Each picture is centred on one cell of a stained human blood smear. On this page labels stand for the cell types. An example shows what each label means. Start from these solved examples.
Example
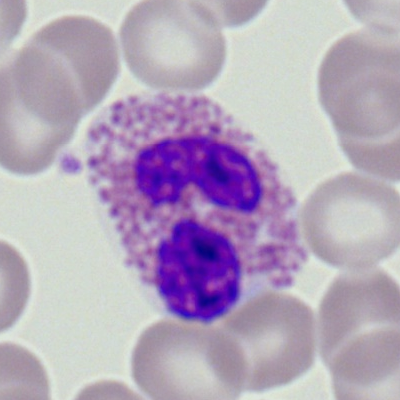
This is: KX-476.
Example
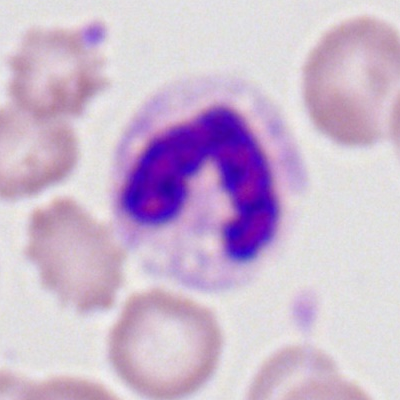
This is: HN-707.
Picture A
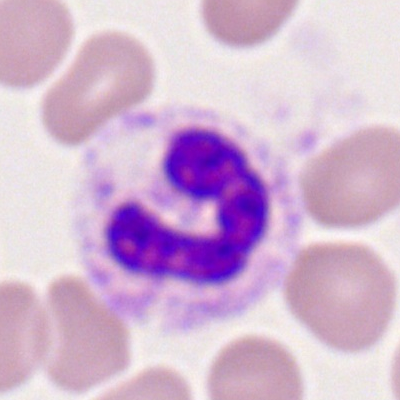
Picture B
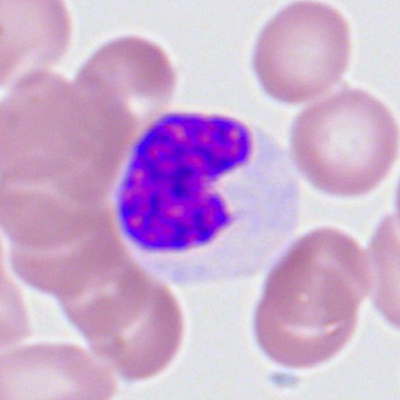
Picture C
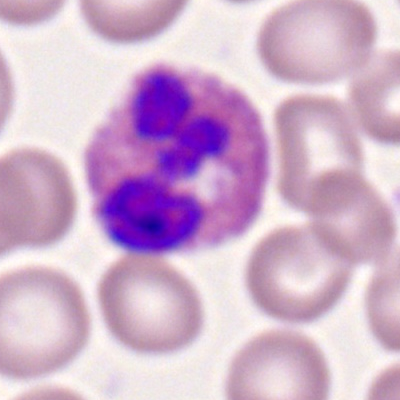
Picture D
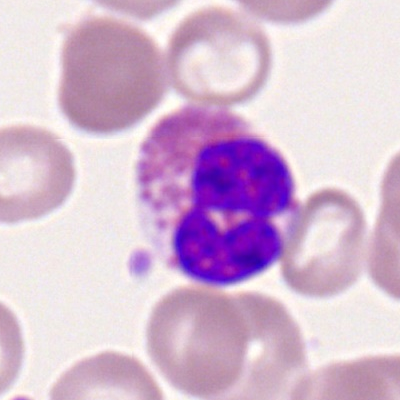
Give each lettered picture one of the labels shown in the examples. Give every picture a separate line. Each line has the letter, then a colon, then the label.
A: HN-707.
B: HN-707.
C: KX-476.
D: KX-476.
